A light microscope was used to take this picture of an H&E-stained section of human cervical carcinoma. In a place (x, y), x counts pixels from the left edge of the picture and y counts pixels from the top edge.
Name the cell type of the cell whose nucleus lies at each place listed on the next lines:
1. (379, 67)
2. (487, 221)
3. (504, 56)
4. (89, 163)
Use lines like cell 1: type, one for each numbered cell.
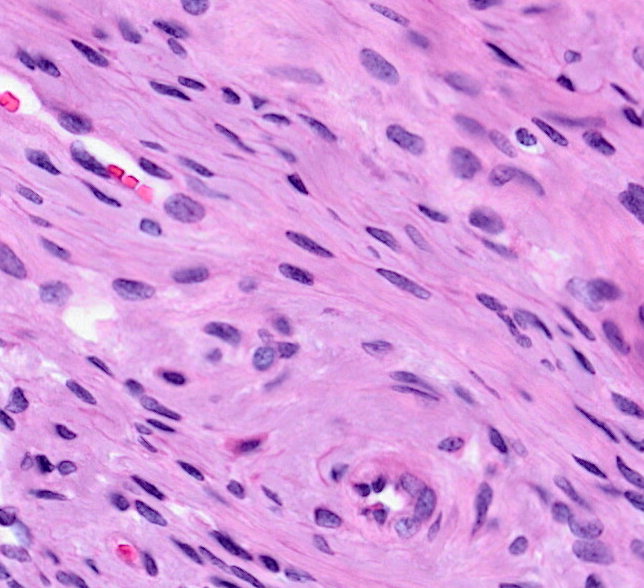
cell 1: fibroblast
cell 2: fibroblast
cell 3: fibroblast
cell 4: endothelial cell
